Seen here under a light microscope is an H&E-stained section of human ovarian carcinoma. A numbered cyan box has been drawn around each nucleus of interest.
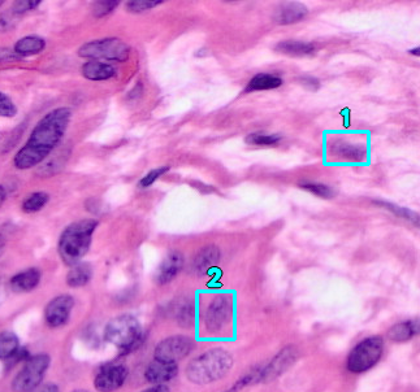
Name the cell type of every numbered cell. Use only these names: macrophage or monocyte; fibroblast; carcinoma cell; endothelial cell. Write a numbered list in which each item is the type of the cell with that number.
1. fibroblast
2. carcinoma cell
